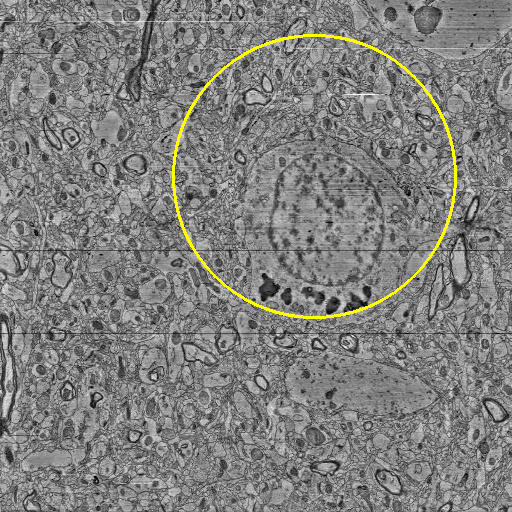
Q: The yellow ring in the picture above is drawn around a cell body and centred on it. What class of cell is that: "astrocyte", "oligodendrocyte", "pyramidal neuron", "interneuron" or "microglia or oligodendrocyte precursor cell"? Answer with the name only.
interneuron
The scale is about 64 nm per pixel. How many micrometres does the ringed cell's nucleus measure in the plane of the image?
About 9 micrometres by about 8 micrometres in this plane.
